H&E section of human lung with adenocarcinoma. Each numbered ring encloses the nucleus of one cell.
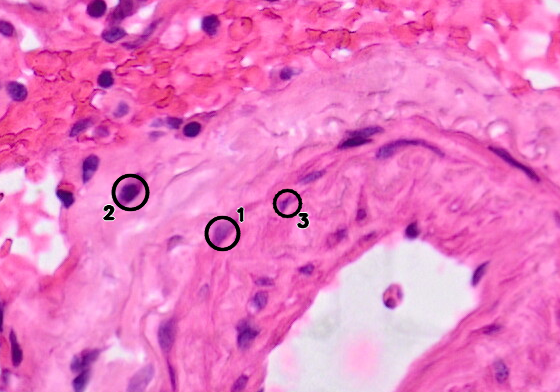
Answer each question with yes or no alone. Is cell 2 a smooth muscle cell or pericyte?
no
